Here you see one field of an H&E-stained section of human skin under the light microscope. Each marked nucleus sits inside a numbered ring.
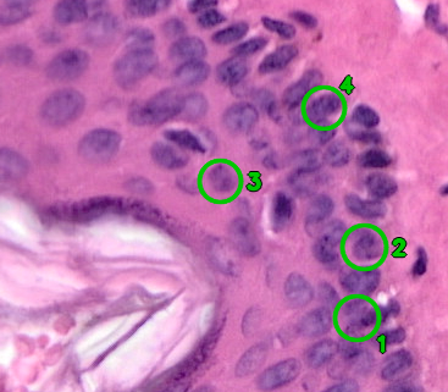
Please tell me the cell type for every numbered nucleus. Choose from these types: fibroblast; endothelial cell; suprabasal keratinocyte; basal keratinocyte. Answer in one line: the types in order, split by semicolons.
basal keratinocyte; basal keratinocyte; suprabasal keratinocyte; basal keratinocyte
